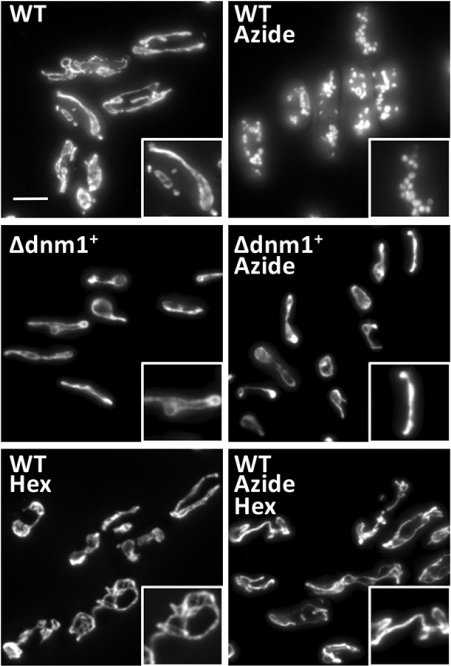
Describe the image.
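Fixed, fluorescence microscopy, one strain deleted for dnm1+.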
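Rod-shaped yeast cells are shown in six fields, with their mitochondria appearing bright against a dark background. In several fields the mitochondria form long threads and tubules running along the length of the cells, some joined into branched networks or rings near the cell ends. In one field the mitochondria are instead broken up into many small separate bright dots scattered through each cell. In other fields a few long, thick tubes or loops span most of each cell, with little branching. Enlarged insets in the lower right corner of each field show a single cell's mitochondria in more detail.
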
